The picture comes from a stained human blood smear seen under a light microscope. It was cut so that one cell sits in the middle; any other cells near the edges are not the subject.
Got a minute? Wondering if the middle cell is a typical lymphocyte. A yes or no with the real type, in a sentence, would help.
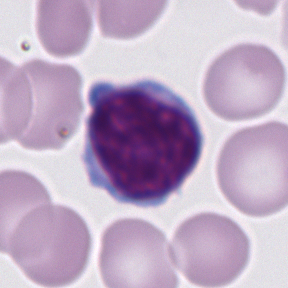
Yes, it is a typical lymphocyte that lies in the middle.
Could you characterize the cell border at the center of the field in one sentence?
The edge of the cell is broken up by ragged stretches or by outward projections.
